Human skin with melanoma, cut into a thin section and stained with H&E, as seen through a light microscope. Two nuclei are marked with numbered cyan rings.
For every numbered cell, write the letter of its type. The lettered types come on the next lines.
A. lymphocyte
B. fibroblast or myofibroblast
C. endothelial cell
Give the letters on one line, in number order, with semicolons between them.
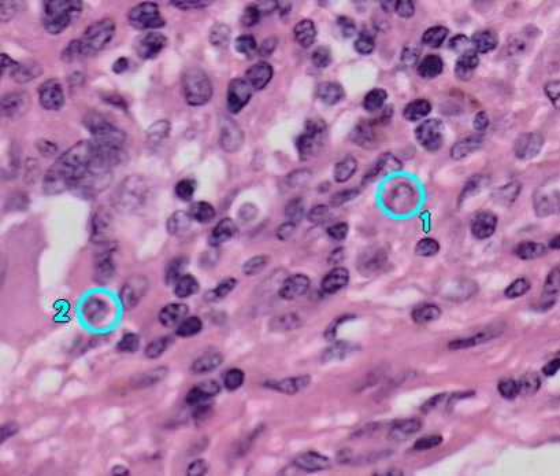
C; A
